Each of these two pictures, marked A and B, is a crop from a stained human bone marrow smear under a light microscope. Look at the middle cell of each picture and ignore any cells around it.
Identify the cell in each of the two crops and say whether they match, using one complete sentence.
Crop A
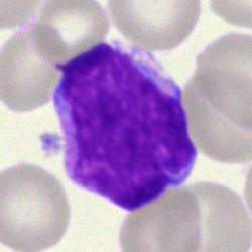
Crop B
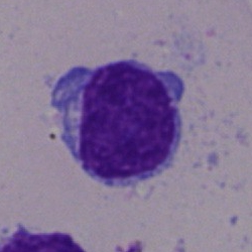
No, crop A displays a blast, and crop B displays a lymphocyte.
